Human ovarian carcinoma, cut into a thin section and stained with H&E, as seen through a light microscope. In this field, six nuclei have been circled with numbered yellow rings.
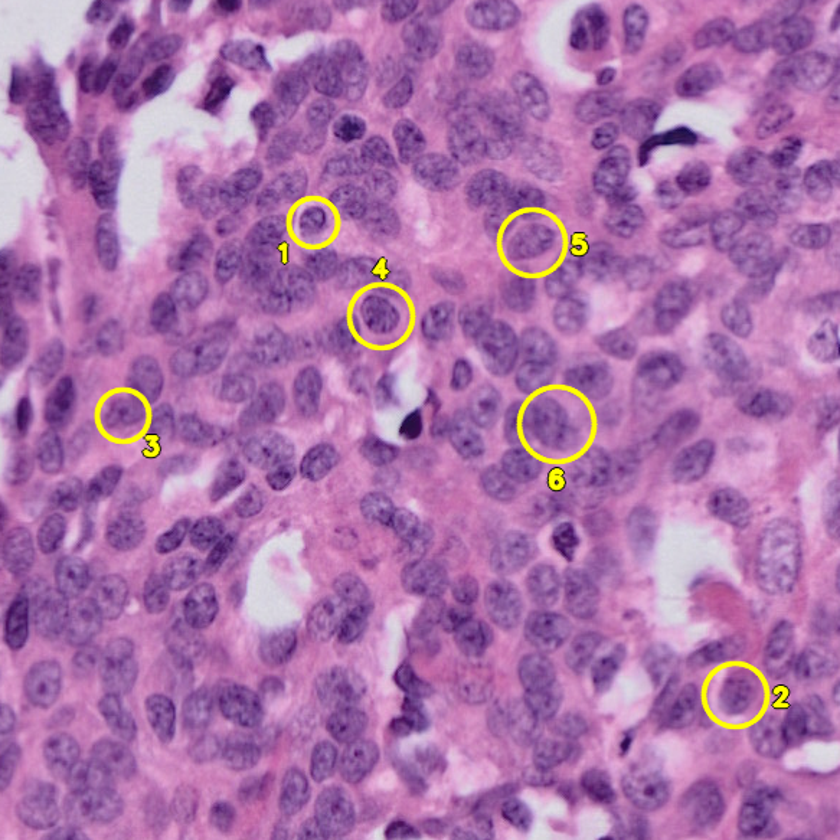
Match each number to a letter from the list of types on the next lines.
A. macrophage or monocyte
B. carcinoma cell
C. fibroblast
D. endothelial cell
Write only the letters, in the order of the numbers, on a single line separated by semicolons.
A; B; B; A; B; B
